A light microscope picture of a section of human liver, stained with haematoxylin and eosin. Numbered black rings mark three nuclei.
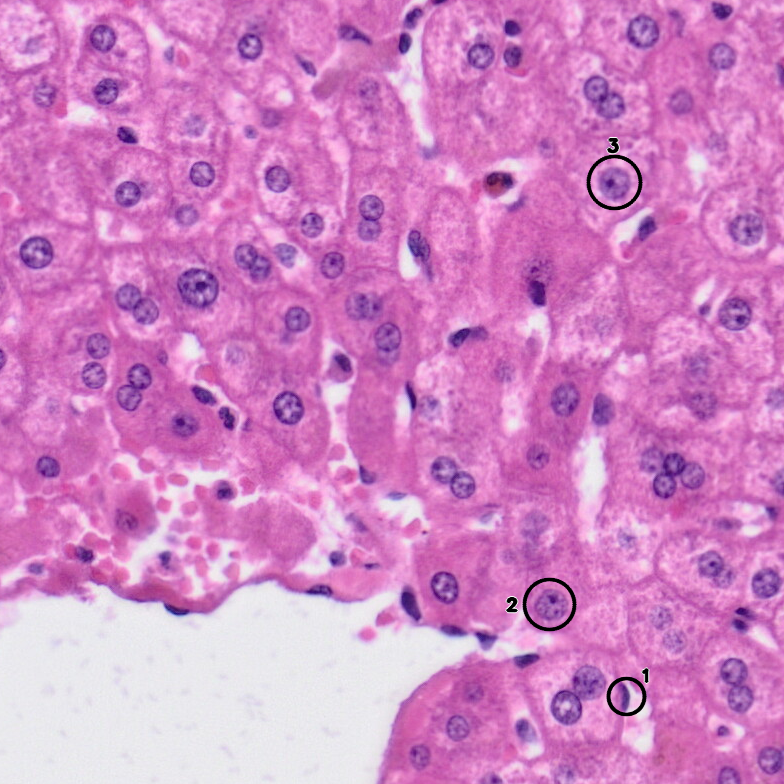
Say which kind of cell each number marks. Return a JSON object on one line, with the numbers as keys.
{"1": "endothelial cell", "2": "hepatocyte", "3": "hepatocyte"}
